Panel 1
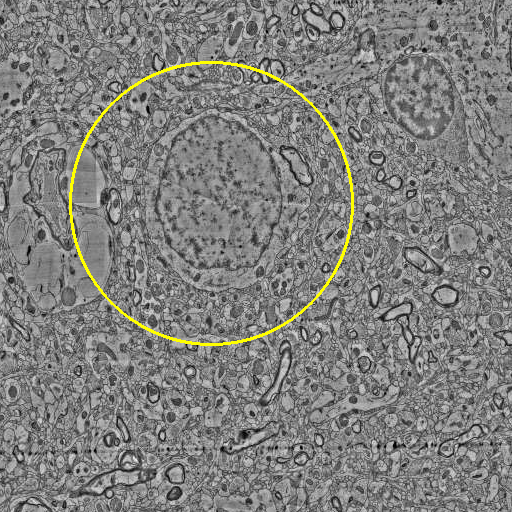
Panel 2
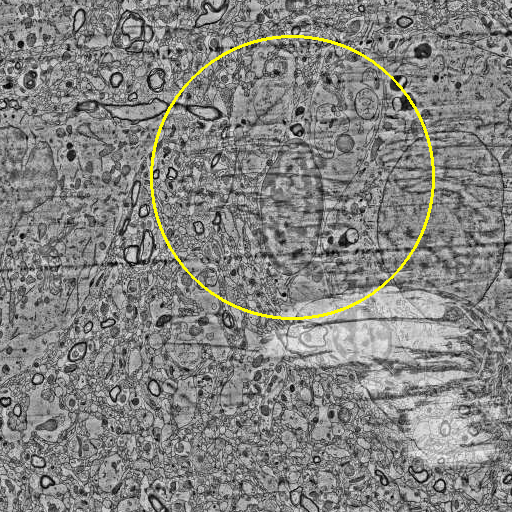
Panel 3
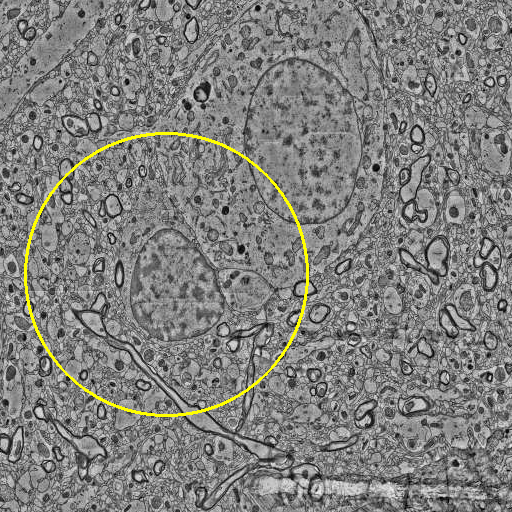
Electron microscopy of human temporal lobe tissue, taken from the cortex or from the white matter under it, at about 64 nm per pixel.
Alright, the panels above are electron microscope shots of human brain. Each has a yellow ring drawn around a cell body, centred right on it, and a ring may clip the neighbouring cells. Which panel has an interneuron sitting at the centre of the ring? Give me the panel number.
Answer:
1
